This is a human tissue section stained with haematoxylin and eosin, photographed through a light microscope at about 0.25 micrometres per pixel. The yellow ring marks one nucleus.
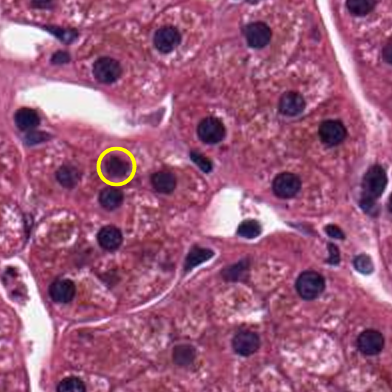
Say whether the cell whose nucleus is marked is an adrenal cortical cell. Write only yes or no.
yes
